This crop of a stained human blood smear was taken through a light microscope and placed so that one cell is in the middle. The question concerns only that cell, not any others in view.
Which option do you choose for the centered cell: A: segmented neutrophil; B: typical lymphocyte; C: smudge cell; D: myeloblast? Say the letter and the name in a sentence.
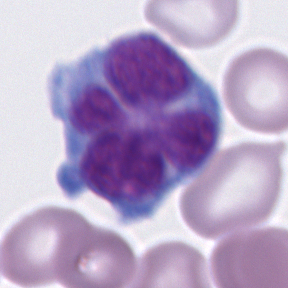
It is a myeloblast that occupies the centre of the crop, so option D is correct.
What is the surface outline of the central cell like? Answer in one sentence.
The edge is uneven, and this unevenness takes the form of ragged stretches or projections.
